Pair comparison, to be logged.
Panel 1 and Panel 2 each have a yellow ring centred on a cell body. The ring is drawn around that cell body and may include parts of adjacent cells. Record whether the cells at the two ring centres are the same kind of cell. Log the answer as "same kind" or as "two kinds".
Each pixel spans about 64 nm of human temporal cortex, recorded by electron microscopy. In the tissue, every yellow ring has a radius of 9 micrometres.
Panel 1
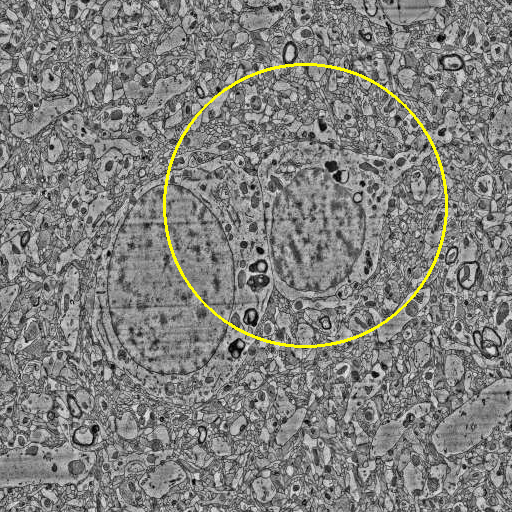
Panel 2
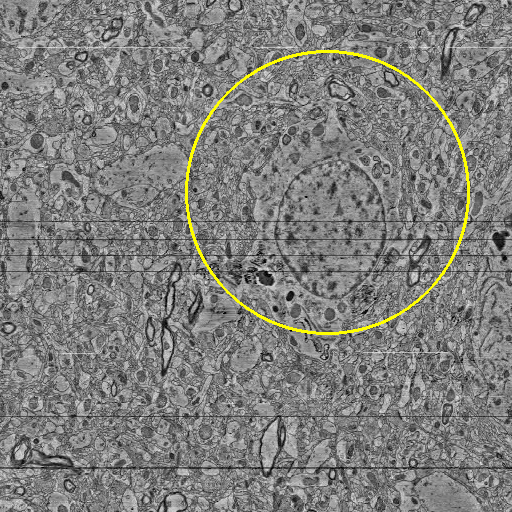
two kinds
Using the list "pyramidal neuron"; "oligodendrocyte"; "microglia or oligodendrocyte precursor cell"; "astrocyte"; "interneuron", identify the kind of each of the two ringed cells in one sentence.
The first is an interneuron and the second is an astrocyte.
